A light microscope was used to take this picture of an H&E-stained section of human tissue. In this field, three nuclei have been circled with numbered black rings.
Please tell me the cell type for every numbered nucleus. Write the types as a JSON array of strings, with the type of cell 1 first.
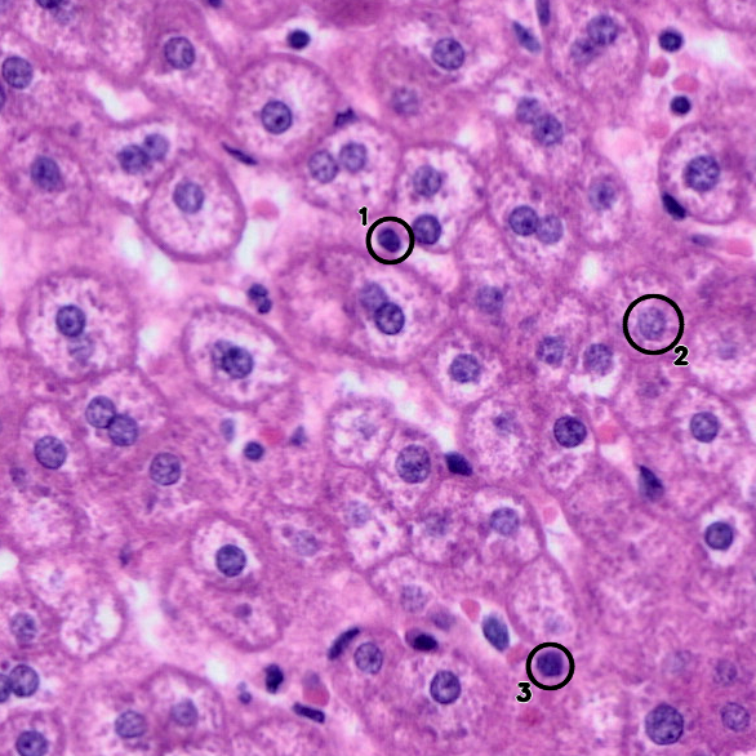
["lymphocyte", "hepatocyte", "fibroblast or stellate cell"]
